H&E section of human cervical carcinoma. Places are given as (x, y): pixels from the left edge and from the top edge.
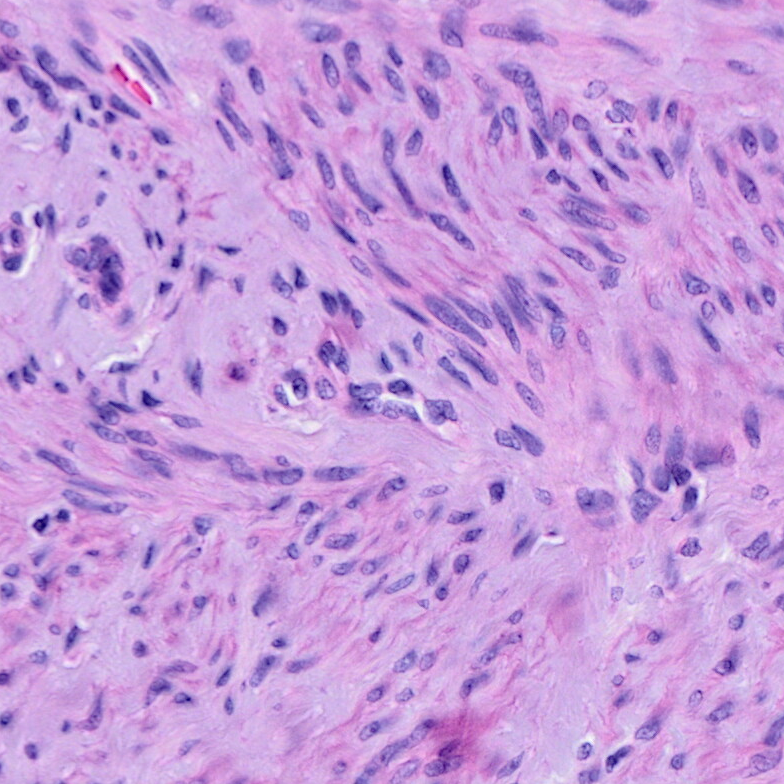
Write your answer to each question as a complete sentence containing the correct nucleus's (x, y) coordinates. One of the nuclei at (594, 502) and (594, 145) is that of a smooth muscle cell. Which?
Between the pair, the nucleus at (594, 145) belongs to a smooth muscle cell.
